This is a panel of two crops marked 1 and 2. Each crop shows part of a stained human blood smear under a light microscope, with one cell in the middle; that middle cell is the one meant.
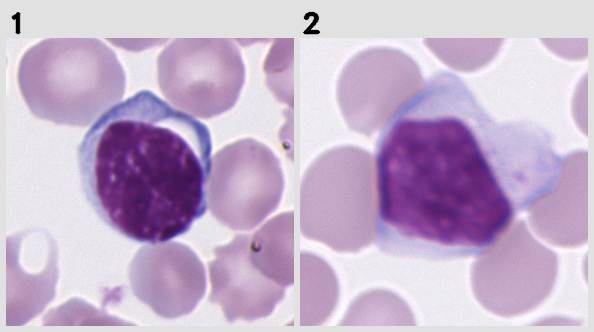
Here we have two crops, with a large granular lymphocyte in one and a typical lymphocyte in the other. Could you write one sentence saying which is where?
The crop labelled 1 is a typical lymphocyte, and the crop labelled 2 is a large granular lymphocyte.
